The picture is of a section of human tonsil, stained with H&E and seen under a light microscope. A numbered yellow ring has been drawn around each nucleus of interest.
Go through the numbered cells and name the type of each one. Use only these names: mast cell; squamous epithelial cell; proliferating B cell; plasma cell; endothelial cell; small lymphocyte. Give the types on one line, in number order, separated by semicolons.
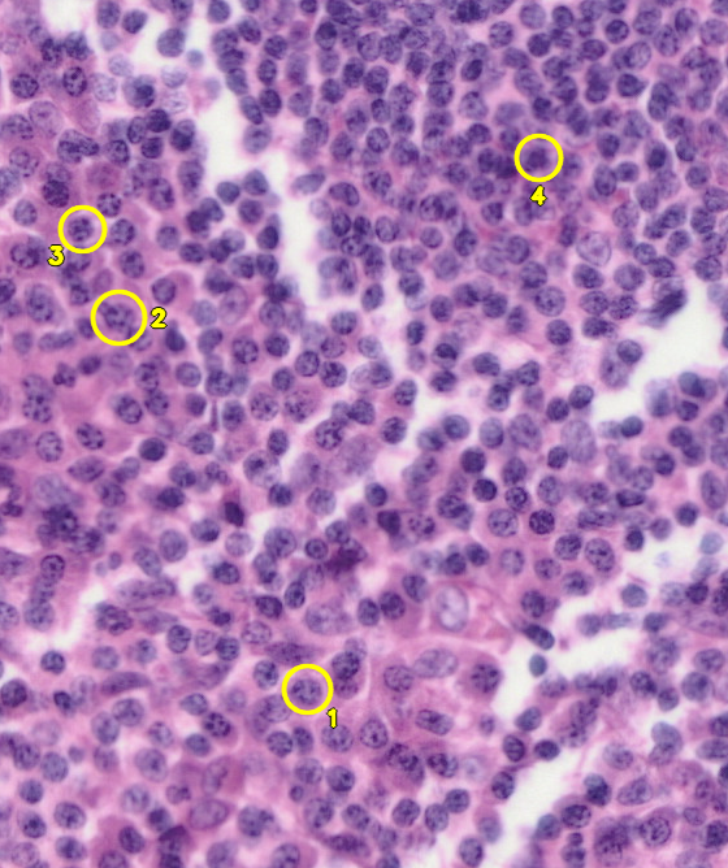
plasma cell; plasma cell; plasma cell; small lymphocyte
